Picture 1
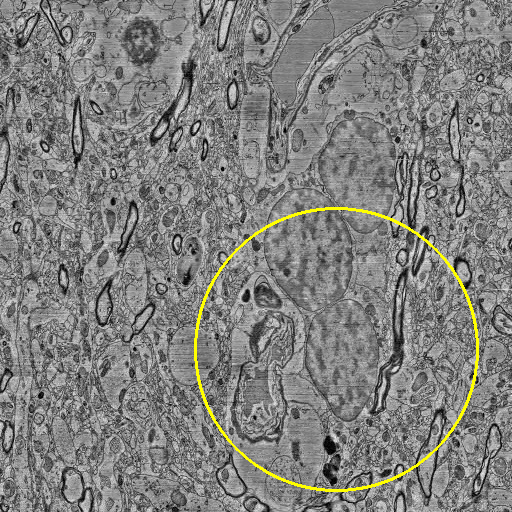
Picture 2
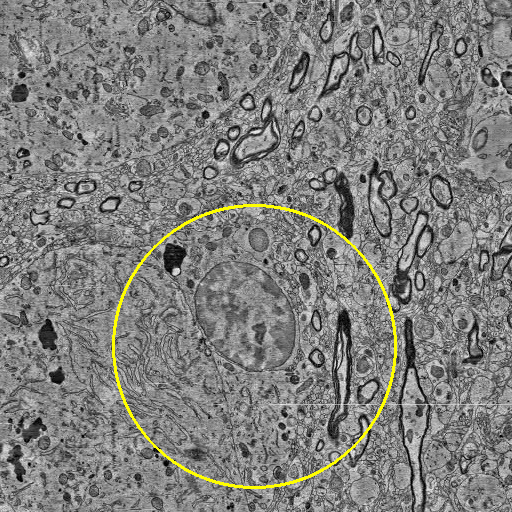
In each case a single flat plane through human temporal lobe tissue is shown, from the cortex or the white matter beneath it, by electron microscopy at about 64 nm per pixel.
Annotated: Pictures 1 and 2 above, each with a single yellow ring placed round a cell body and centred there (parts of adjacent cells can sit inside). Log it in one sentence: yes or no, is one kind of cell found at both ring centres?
Yes, the ring centres of the two pictures hold cells of one kind.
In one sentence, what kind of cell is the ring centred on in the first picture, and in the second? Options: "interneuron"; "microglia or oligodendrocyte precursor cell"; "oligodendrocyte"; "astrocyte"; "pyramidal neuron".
Each of the two rings surrounds an oligodendrocyte.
